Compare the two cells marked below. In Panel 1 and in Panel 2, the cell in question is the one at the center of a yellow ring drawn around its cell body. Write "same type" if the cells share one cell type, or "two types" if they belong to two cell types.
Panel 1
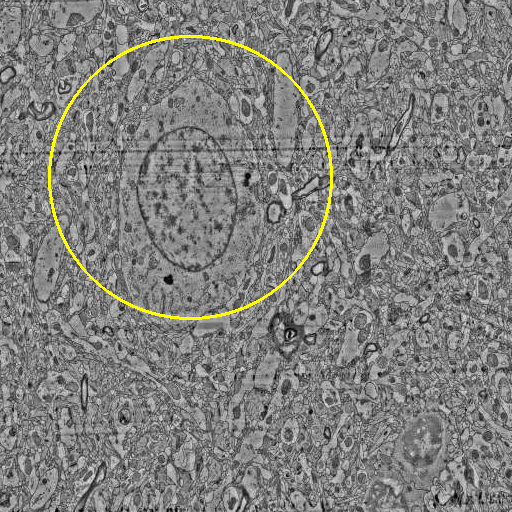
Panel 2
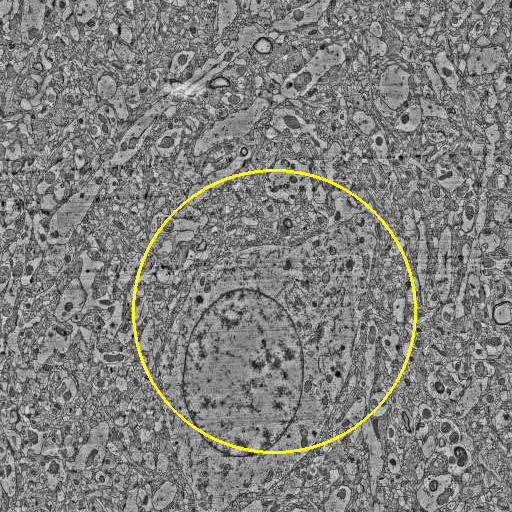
same type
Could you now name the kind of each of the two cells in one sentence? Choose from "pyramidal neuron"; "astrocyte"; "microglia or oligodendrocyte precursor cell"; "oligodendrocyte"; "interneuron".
Each of the two rings surrounds a pyramidal neuron.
